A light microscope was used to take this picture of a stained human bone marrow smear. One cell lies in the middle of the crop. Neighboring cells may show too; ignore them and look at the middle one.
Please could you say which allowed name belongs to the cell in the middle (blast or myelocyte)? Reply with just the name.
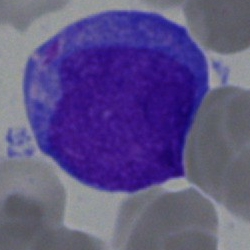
blast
